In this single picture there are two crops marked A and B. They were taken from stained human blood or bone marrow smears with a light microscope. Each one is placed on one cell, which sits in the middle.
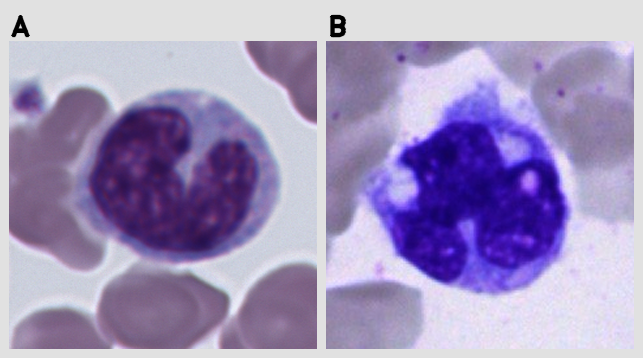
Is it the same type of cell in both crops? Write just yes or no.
yes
